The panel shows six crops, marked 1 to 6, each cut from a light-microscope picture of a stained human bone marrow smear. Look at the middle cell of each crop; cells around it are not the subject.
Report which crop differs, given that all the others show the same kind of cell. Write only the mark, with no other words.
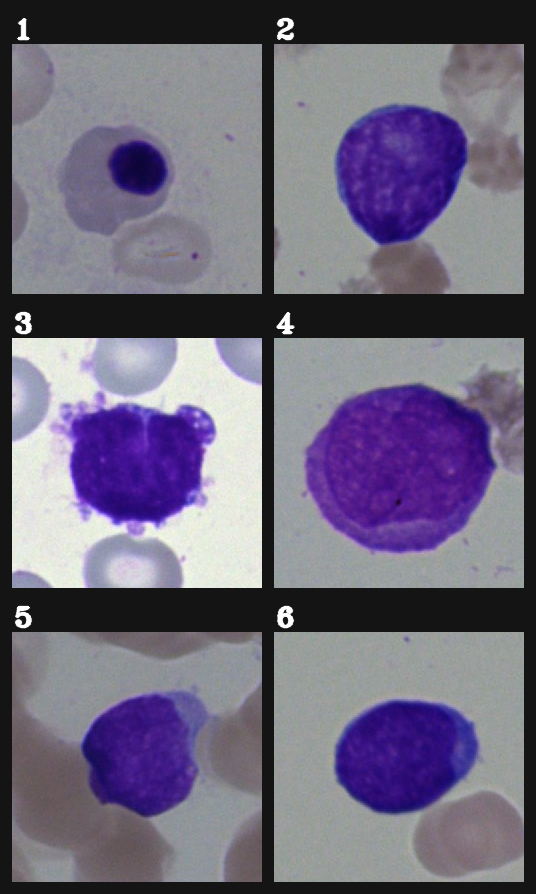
1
